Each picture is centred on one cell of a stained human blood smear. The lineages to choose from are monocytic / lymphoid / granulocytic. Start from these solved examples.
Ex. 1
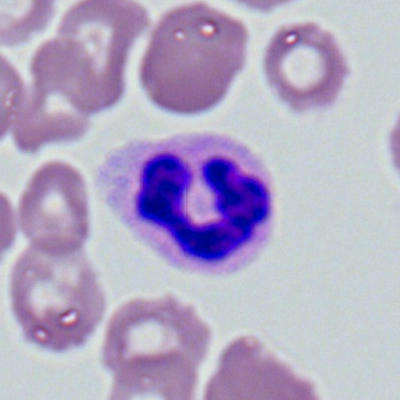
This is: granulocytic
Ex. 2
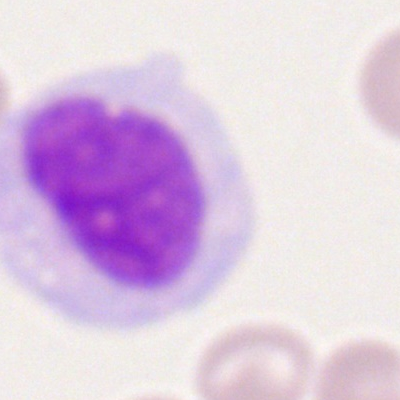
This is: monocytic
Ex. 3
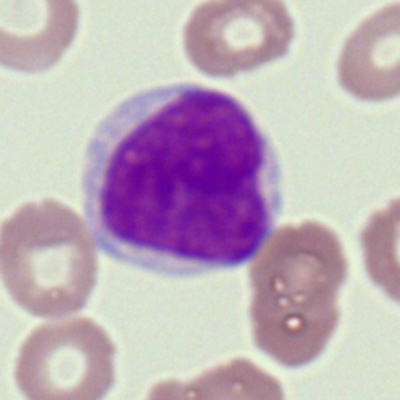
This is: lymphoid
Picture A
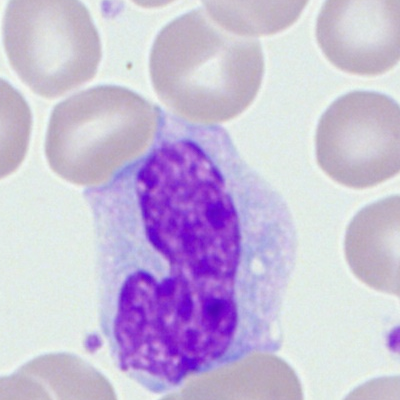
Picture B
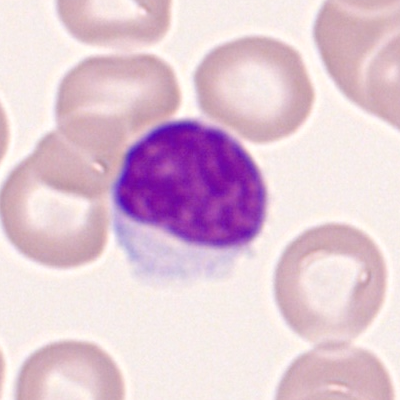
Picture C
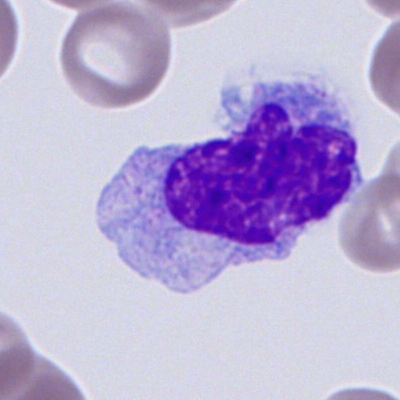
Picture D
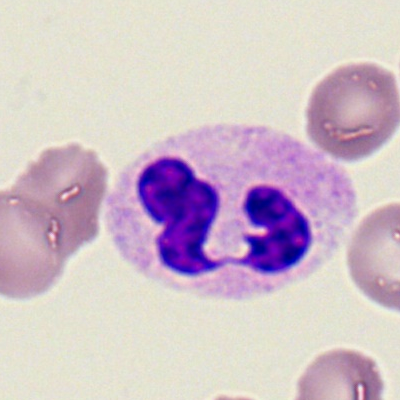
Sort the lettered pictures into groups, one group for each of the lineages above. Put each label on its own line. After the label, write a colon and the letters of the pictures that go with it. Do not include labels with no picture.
monocytic: A, C
lymphoid: B
granulocytic: D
